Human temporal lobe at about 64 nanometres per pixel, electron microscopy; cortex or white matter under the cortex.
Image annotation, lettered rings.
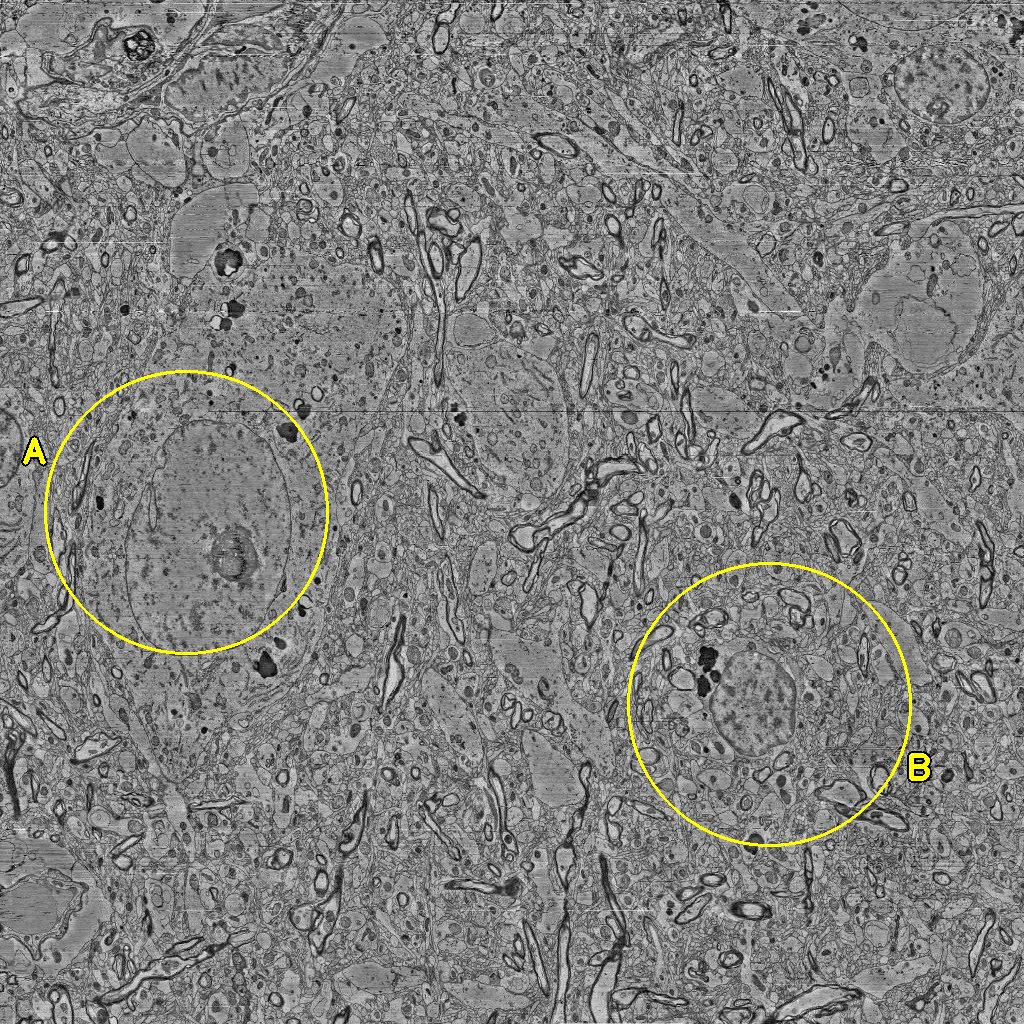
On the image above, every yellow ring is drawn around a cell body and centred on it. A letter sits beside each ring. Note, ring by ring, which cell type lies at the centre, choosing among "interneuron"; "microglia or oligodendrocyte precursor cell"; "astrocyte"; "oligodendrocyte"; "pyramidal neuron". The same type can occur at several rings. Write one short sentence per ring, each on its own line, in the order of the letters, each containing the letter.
Ring A has a pyramidal neuron at its centre.
Ring B has an oligodendrocyte at its centre.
